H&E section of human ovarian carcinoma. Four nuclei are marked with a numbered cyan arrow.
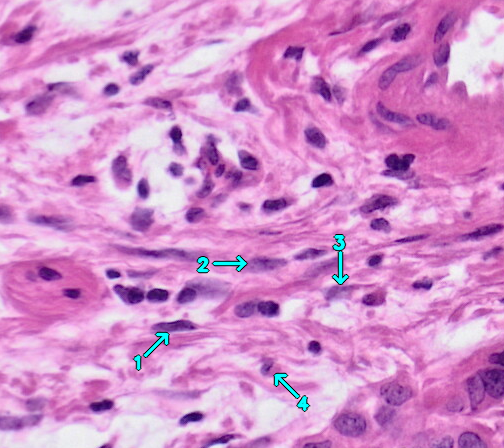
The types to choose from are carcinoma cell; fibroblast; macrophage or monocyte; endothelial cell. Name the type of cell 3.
fibroblast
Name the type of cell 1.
fibroblast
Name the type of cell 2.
fibroblast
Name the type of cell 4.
macrophage or monocyte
